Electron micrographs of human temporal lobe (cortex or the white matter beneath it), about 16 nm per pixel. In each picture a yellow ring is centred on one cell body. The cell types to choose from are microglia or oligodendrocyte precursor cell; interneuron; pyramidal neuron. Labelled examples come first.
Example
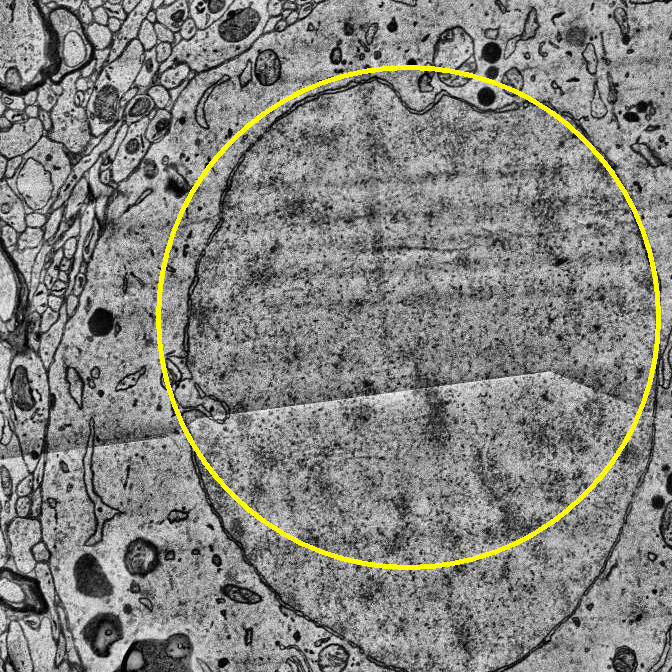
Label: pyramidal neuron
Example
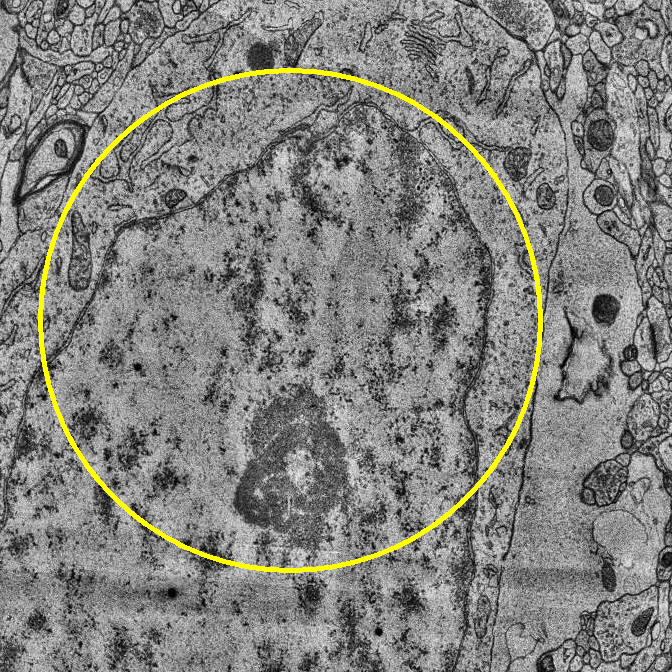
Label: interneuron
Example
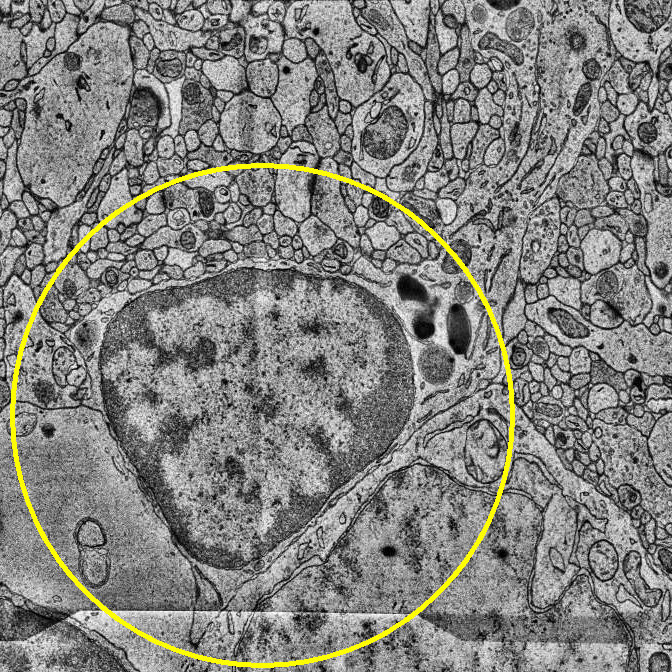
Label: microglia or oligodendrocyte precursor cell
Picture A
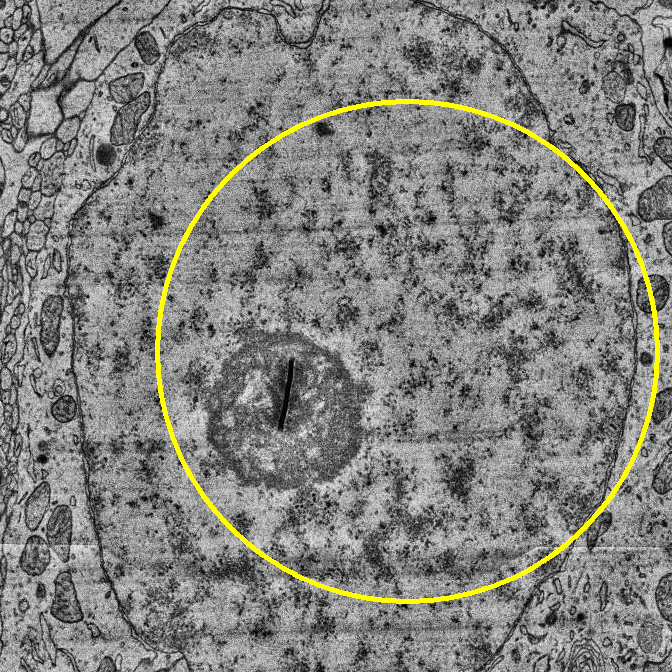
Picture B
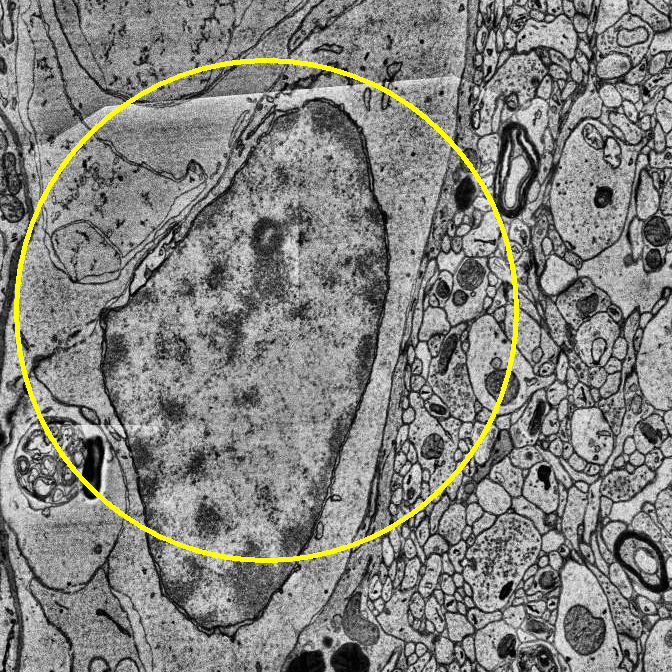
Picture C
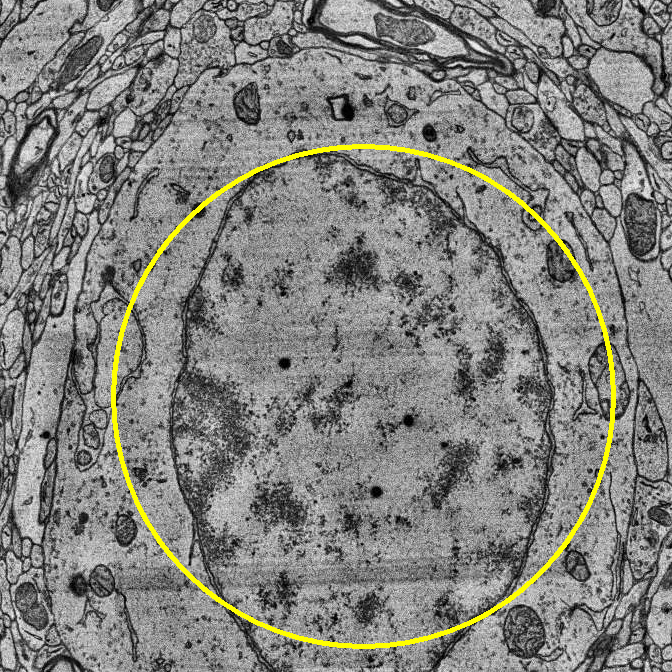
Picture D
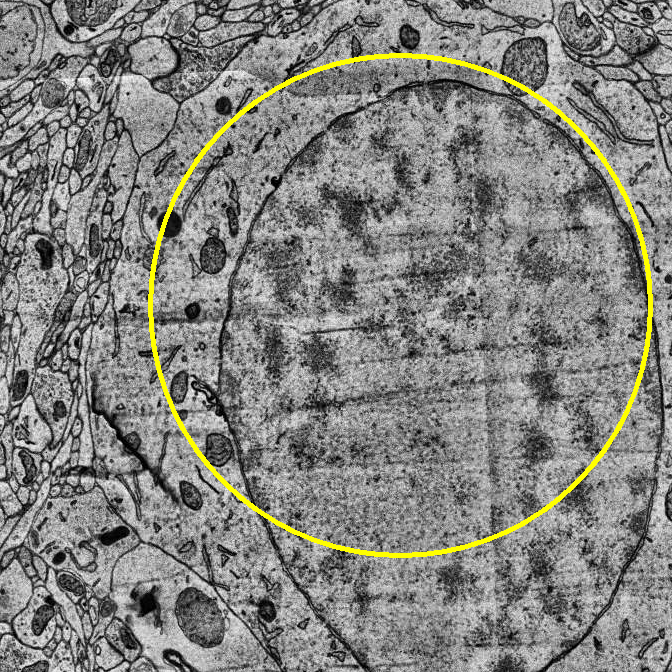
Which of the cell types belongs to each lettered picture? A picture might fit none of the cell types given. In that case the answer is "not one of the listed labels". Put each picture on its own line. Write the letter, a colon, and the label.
A: interneuron
B: microglia or oligodendrocyte precursor cell
C: pyramidal neuron
D: pyramidal neuron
